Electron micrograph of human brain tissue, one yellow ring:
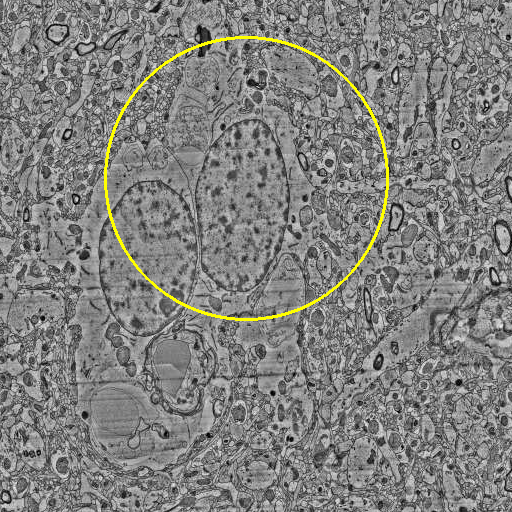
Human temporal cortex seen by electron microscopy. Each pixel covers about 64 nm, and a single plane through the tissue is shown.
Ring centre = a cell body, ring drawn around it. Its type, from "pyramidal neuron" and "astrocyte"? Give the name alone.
astrocyte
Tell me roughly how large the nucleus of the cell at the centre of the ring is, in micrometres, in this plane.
The nucleus comes to approximately 11 by 6 micrometres and is clearly longer than it is wide in this plane.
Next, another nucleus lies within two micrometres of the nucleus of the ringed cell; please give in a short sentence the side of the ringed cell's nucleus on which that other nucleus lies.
The other nucleus can be seen to the left of it.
